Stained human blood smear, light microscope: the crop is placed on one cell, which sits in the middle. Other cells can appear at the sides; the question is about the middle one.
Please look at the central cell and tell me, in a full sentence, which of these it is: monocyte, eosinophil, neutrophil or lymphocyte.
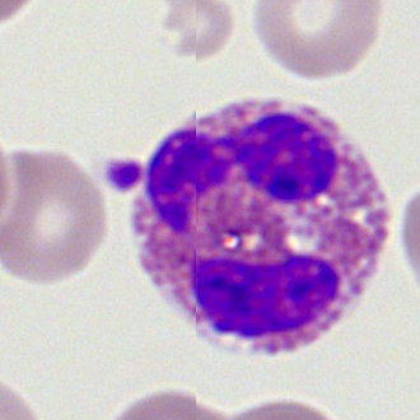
By type, the central cell of the crop is an eosinophil.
